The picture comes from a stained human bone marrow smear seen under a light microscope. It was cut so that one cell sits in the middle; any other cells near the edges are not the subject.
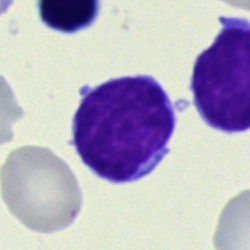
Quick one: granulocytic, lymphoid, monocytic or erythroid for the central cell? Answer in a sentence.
The cell in the middle belongs to the lymphoid lineage.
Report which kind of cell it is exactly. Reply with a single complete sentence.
Occupying the centre of the crop is a lymphocyte.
